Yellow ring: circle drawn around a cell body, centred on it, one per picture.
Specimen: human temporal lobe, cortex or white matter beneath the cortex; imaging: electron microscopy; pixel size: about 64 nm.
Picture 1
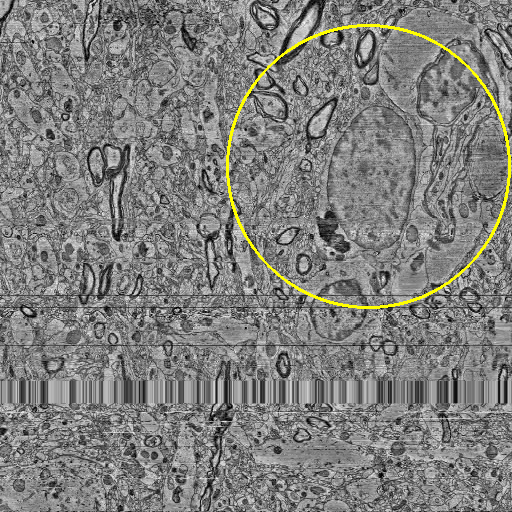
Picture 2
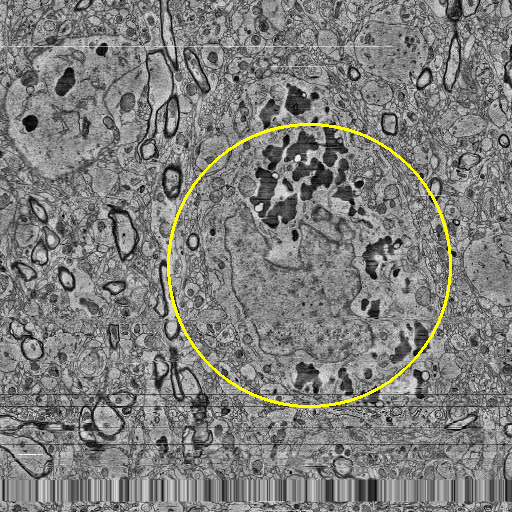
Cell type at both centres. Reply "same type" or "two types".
two types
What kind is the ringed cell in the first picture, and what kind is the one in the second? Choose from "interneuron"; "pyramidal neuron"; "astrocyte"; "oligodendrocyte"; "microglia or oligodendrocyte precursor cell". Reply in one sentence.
The first cell is an oligodendrocyte; the second is an interneuron.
